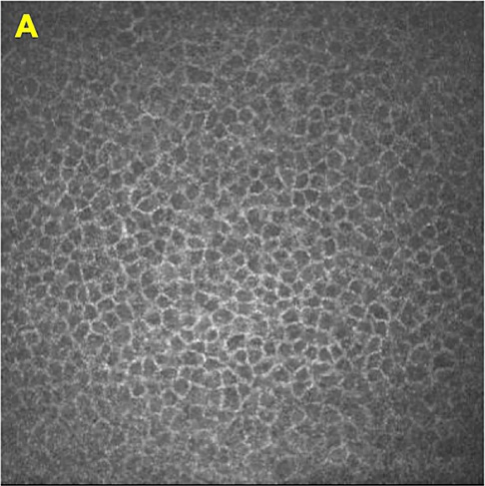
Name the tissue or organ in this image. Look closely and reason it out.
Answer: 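Epithelial layer. A dense, regular mosaic of small polygonal cells. Cell borders are bright and cell interiors dark. No scattered bright bodies lie among the cells.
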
